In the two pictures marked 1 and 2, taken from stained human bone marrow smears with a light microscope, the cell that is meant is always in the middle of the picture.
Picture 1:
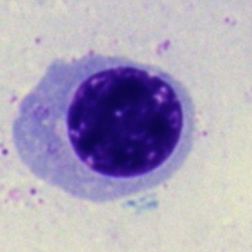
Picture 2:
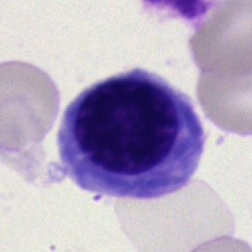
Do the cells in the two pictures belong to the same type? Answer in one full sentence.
Yes, the two pictures both show erythroblasts.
